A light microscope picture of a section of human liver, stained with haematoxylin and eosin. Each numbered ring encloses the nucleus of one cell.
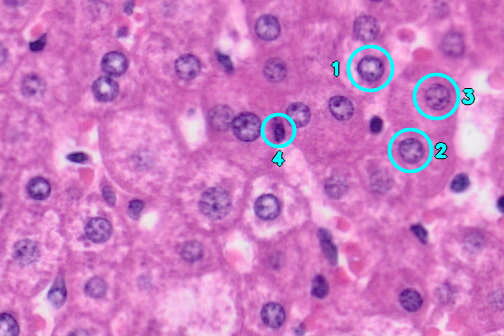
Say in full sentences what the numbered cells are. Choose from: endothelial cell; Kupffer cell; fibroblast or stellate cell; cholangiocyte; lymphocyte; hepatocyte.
Cell 1 is a hepatocyte, cell 2 is a hepatocyte, cell 3 is a hepatocyte and cell 4 is a fibroblast or stellate cell.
